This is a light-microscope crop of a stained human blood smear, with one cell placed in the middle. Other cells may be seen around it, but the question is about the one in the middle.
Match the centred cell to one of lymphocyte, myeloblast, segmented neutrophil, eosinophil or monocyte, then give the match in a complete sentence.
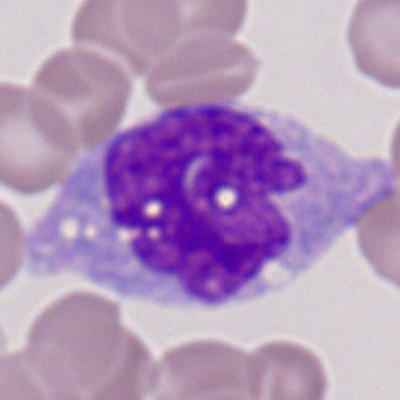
For this crop, the central cell is a monocyte.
